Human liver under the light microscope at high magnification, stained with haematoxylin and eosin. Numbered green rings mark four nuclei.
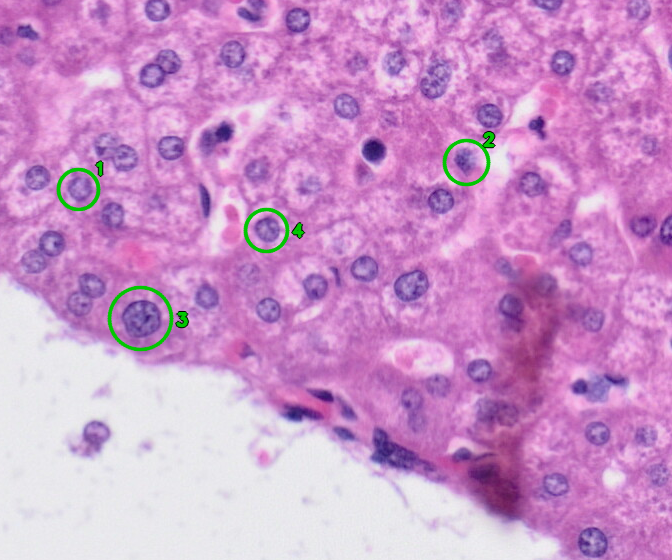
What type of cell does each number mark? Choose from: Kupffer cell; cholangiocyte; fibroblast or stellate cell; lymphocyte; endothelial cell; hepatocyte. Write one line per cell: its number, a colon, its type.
1: hepatocyte
2: endothelial cell
3: hepatocyte
4: hepatocyte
